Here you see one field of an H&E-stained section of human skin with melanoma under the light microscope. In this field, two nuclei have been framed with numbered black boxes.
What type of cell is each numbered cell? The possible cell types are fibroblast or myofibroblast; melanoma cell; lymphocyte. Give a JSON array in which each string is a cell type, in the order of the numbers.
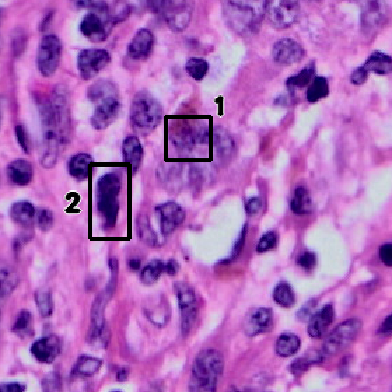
["melanoma cell", "lymphocyte"]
